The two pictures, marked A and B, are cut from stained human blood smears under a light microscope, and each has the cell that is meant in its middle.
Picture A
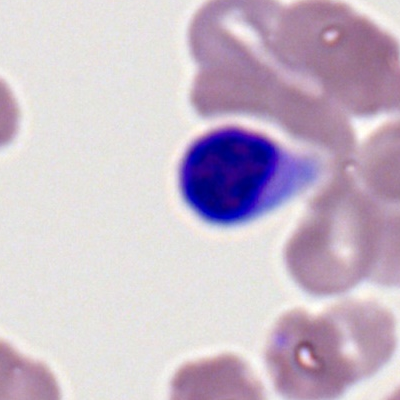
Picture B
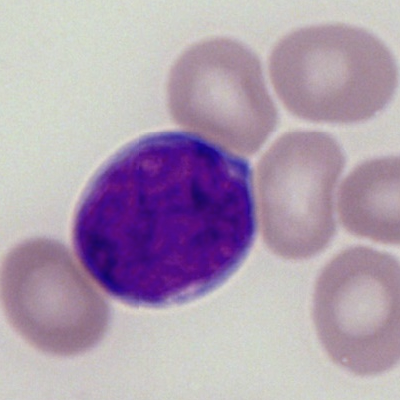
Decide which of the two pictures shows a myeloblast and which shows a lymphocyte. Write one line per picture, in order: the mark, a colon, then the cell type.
A: lymphocyte
B: myeloblast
